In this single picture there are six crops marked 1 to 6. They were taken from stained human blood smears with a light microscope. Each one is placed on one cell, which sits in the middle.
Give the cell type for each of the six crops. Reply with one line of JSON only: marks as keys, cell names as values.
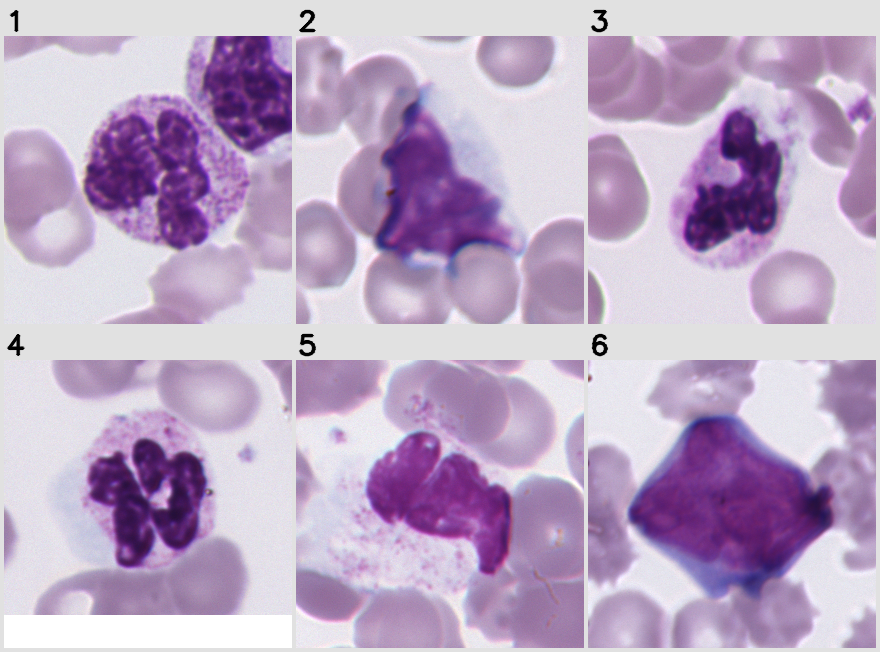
{"1": "neutrophil", "2": "blast", "3": "neutrophil", "4": "neutrophil", "5": "neutrophil", "6": "blast"}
